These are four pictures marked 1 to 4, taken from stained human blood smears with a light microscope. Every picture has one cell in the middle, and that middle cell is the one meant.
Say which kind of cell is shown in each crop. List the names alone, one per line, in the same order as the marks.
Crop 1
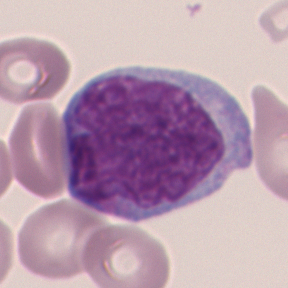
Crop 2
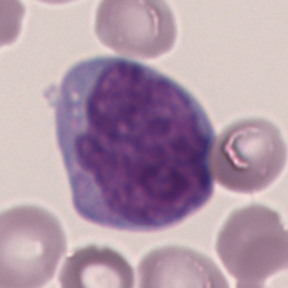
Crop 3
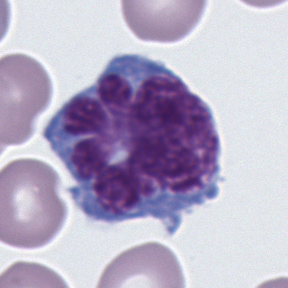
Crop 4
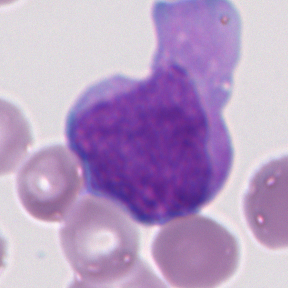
atypical promyelocyte
atypical promyelocyte
myeloblast
atypical promyelocyte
